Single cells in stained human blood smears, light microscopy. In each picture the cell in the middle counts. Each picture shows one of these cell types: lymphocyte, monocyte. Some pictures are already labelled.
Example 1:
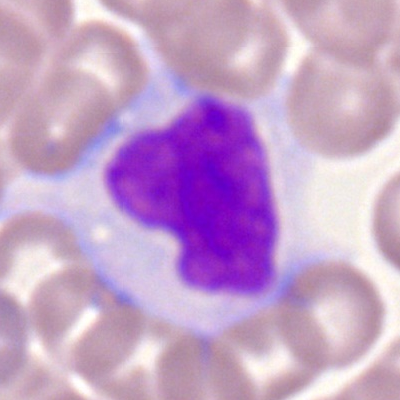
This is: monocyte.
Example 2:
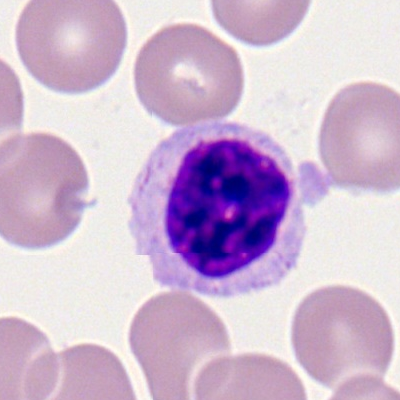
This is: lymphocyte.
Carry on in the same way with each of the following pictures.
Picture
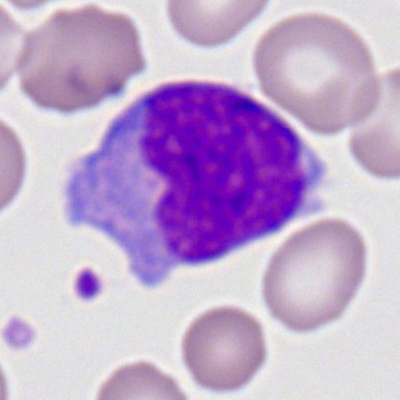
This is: monocyte.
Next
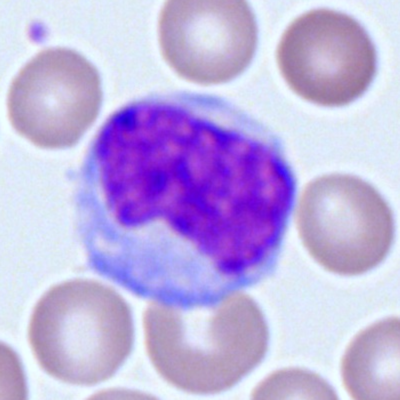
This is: monocyte.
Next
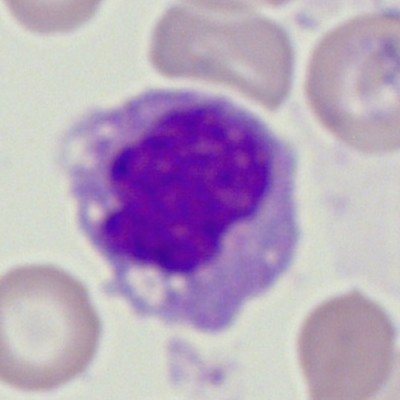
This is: monocyte.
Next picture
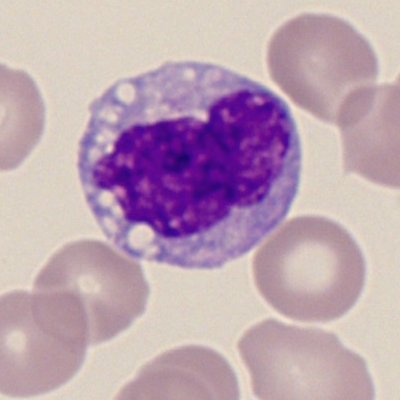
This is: monocyte.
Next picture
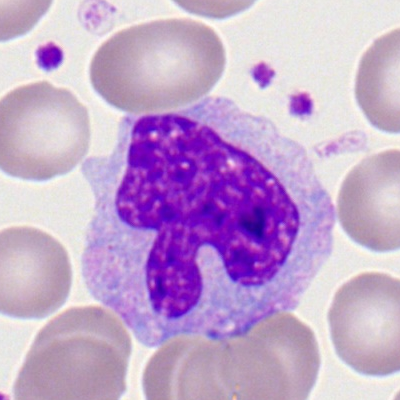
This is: monocyte.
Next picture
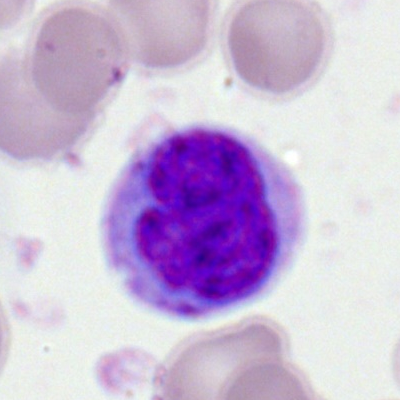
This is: monocyte.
